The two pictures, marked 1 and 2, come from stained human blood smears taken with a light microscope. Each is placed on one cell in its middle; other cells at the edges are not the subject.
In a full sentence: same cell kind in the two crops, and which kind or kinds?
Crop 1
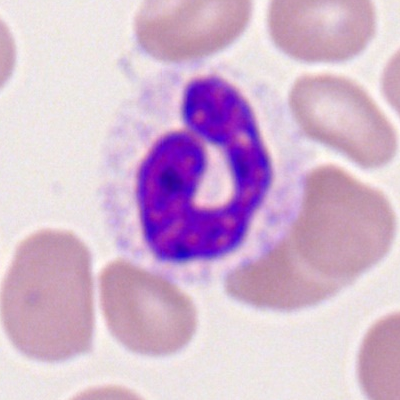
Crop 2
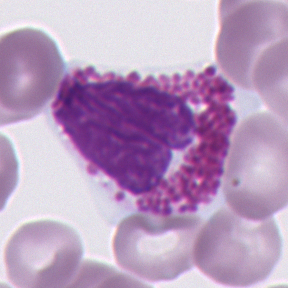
No, crop 1 shows a band neutrophil, and it is crop 2 that shows an eosinophil.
